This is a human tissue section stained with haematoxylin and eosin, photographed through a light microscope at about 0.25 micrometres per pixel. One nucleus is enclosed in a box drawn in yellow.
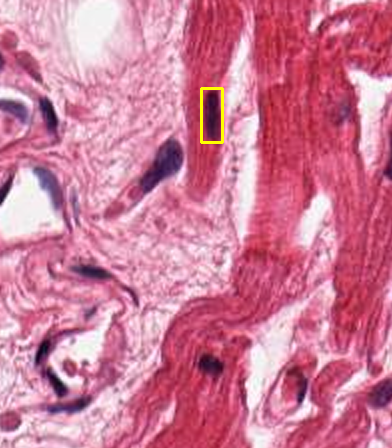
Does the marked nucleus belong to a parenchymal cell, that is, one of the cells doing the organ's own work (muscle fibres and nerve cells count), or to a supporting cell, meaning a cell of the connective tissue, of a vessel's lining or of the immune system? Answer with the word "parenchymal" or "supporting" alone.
parenchymal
